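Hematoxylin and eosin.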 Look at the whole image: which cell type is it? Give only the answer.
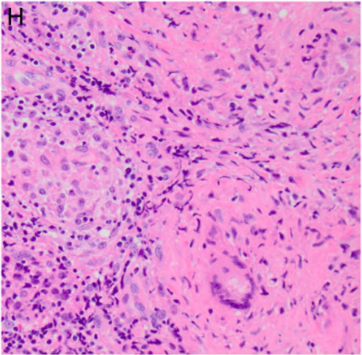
multinucleated giant cells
